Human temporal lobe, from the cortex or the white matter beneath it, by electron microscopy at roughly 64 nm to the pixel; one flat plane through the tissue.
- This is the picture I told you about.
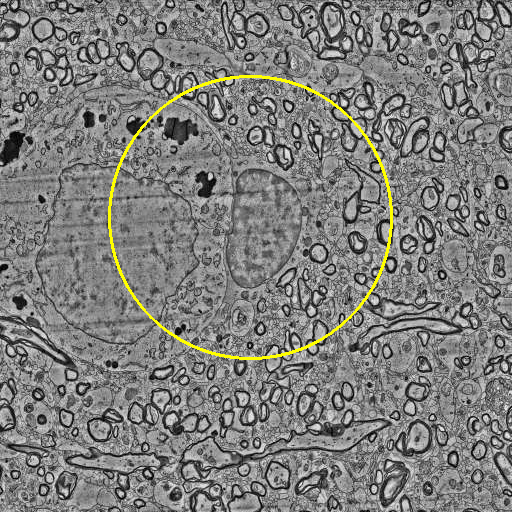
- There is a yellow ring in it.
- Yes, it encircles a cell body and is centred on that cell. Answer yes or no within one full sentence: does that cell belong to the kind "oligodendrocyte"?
Yes, that cell, the one the yellow ring is centred on, belongs to this kind.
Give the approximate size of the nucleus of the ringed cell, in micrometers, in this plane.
The nucleus comes to approximately 7 by 5 micrometres and is clearly longer than it is wide in this plane.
